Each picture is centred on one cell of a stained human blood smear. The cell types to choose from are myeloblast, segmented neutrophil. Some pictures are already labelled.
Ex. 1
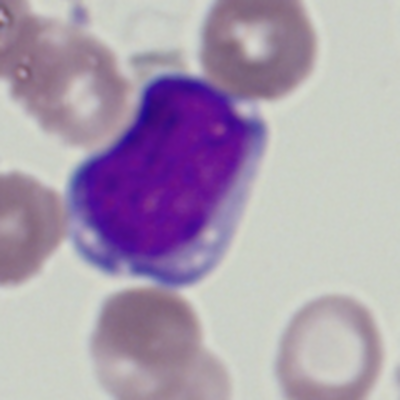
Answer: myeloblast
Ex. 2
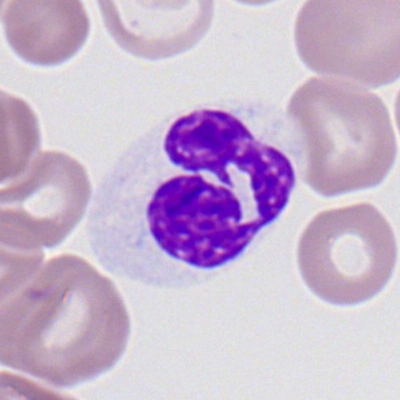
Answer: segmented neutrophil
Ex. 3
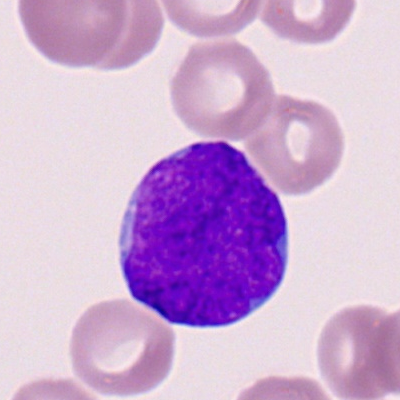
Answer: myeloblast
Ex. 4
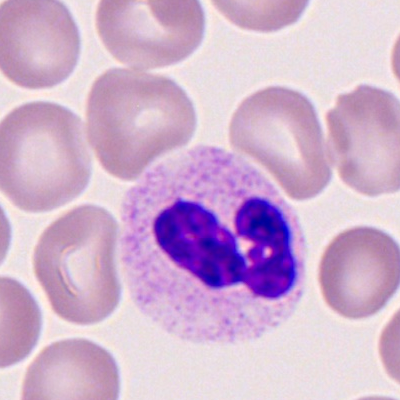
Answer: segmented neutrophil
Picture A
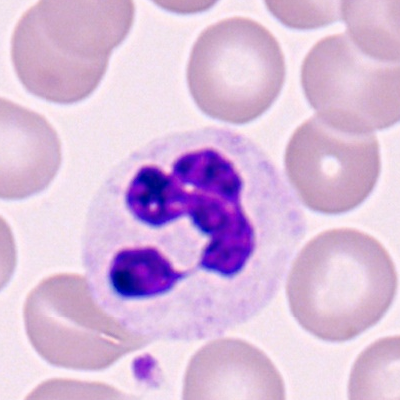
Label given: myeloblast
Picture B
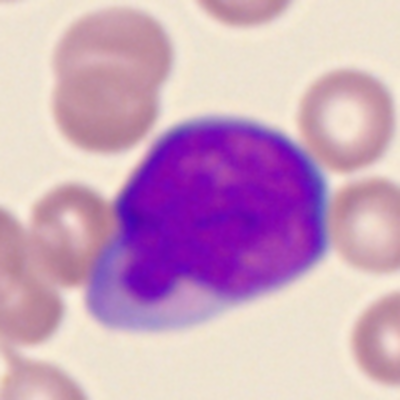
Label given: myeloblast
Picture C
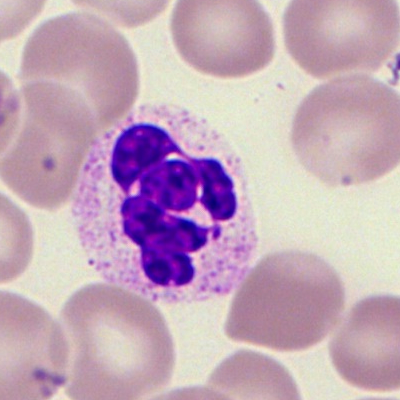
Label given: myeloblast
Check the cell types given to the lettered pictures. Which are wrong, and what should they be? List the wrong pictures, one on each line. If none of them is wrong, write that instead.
Wrong: A (myeloblast); correct: segmented neutrophil
Wrong: C (myeloblast); correct: segmented neutrophil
